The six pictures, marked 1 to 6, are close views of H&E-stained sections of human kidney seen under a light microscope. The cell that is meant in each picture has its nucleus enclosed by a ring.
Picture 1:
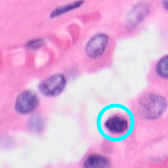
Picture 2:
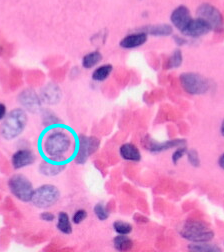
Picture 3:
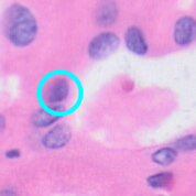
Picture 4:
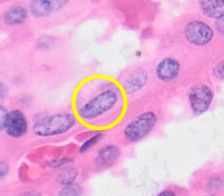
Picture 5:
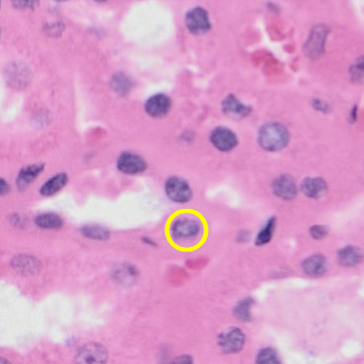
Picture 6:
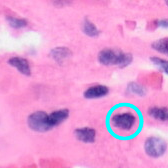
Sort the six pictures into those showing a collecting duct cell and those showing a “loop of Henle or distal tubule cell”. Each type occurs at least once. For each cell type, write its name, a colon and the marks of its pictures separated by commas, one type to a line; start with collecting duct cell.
collecting duct cell: 2, 3, 4, 5
loop of Henle or distal tubule cell: 1, 6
